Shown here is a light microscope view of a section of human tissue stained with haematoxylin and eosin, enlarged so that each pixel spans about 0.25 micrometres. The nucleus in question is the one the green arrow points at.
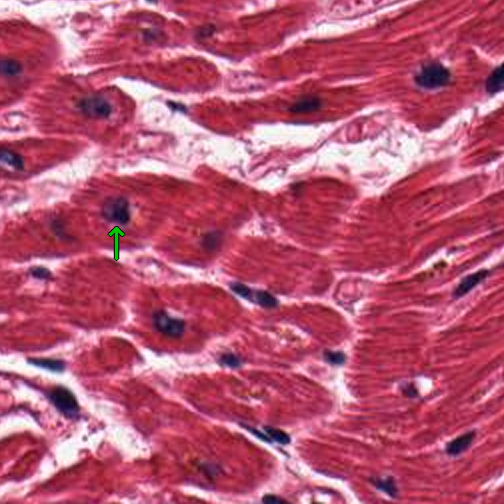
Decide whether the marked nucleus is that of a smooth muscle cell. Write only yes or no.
no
